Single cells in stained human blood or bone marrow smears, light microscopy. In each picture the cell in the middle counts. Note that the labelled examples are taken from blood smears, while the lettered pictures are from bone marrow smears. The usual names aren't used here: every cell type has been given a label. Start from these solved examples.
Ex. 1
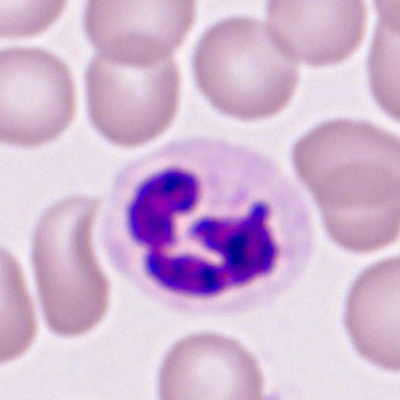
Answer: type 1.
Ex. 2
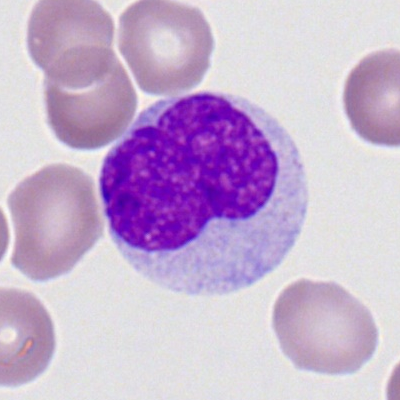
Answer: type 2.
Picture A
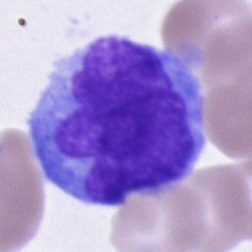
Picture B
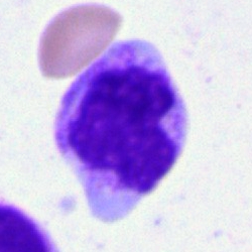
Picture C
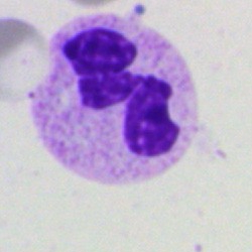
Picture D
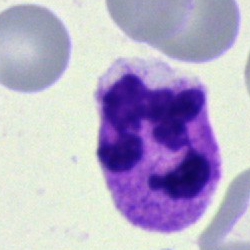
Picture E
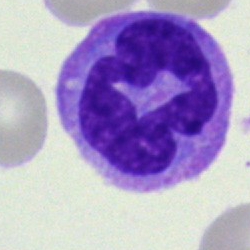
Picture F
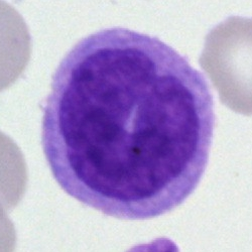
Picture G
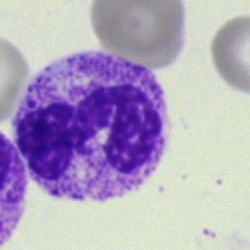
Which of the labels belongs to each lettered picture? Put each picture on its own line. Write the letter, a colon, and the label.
A: type 2.
B: type 2.
C: type 1.
D: type 1.
E: type 2.
F: type 2.
G: type 1.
